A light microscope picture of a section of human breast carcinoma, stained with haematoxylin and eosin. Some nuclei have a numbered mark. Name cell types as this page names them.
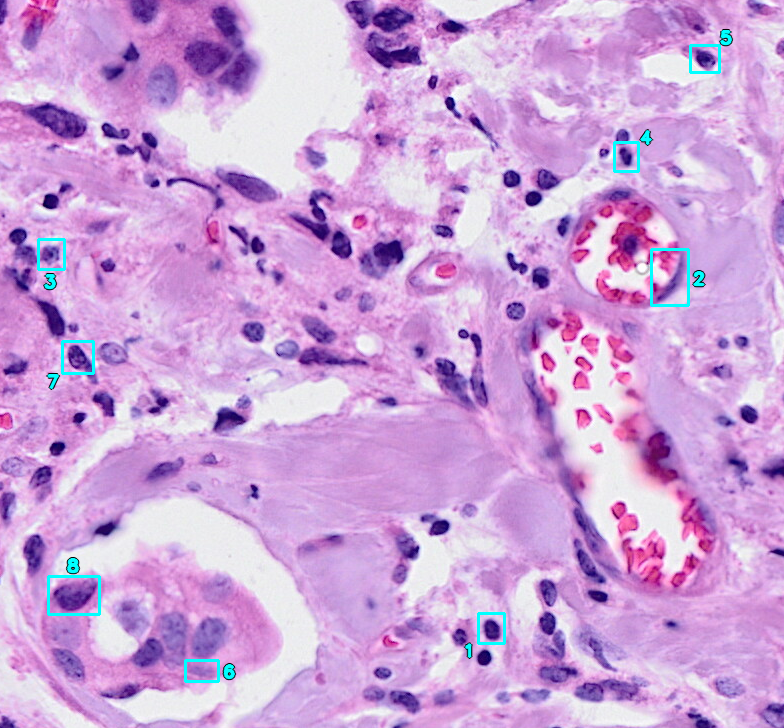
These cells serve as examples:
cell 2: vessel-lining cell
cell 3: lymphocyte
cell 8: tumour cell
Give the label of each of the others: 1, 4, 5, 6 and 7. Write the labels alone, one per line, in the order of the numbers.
lymphocyte
lymphocyte
lymphocyte
tumour cell
lymphocyte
